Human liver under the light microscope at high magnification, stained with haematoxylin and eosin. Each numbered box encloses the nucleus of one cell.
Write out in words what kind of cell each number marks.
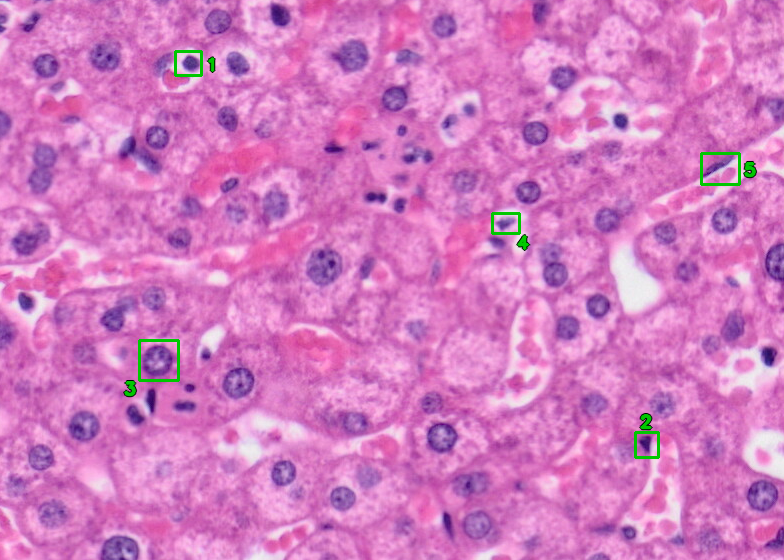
Cells 1 and 4 are lymphocytes. Cell 2 is a fibroblast or stellate cell. Cell 3 is a hepatocyte. Cell 5 is an endothelial cell.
